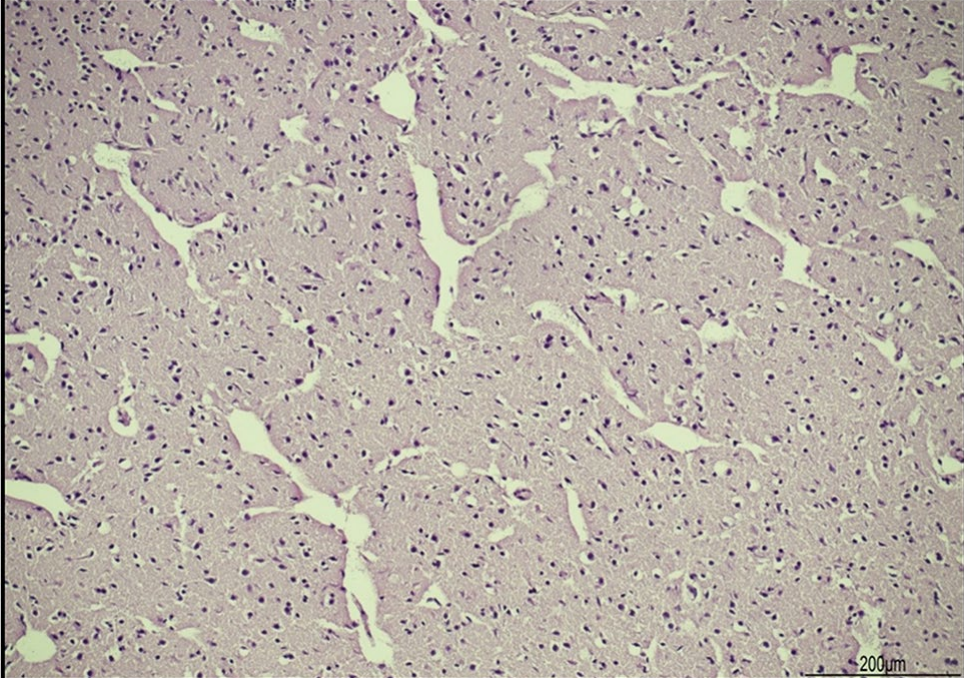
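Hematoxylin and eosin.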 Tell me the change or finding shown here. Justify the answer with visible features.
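Many irregular, branching, empty white spaces run through the tissue. The spaces are angular and have no lining of cells. Pink tissue lies between the spaces. That points to this answer: multiple clefts.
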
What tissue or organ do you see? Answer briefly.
Brain.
